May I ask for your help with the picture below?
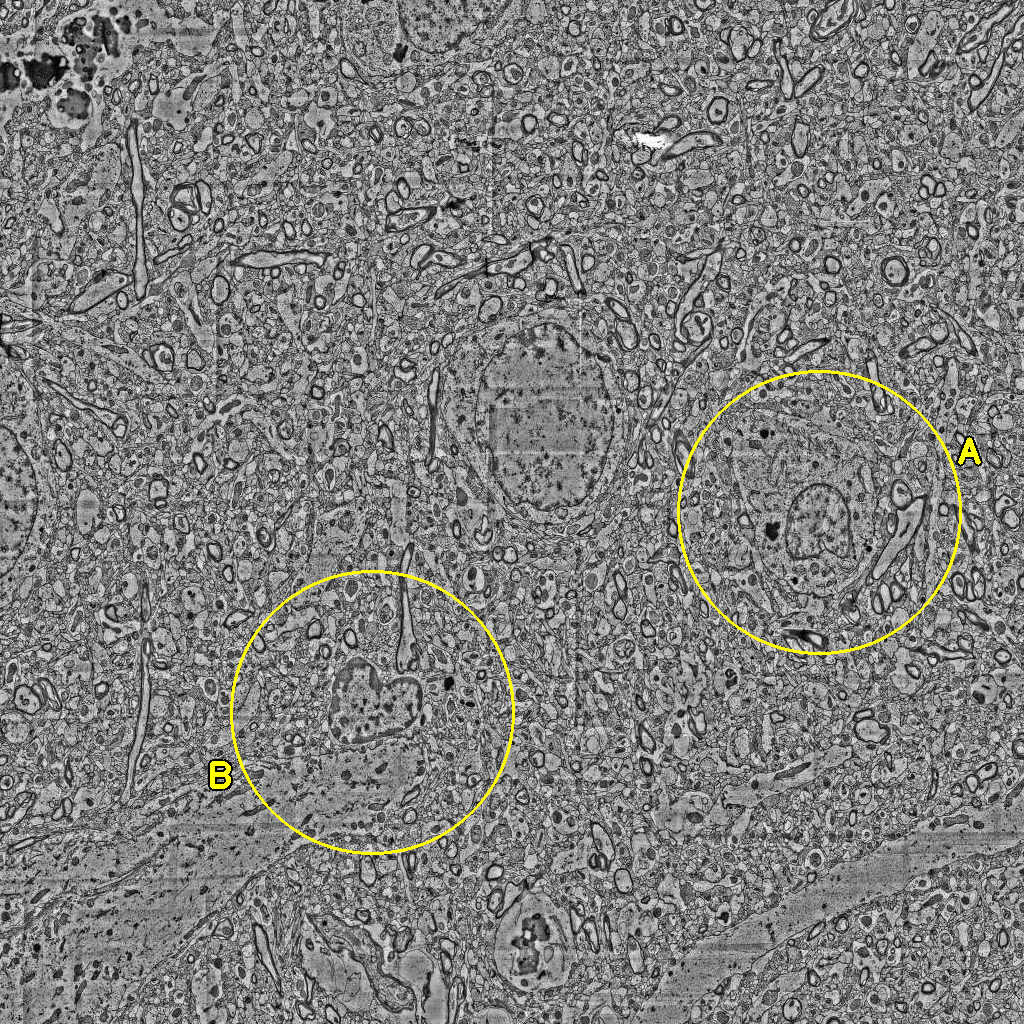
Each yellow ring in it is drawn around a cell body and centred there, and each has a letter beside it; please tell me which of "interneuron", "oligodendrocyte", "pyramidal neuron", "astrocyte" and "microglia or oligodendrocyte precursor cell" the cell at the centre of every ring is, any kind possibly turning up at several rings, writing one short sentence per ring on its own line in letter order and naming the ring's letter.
Ring A is drawn around the cell body of a pyramidal neuron.
Ring B is drawn around the cell body of a microglial cell or oligodendrocyte precursor cell.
